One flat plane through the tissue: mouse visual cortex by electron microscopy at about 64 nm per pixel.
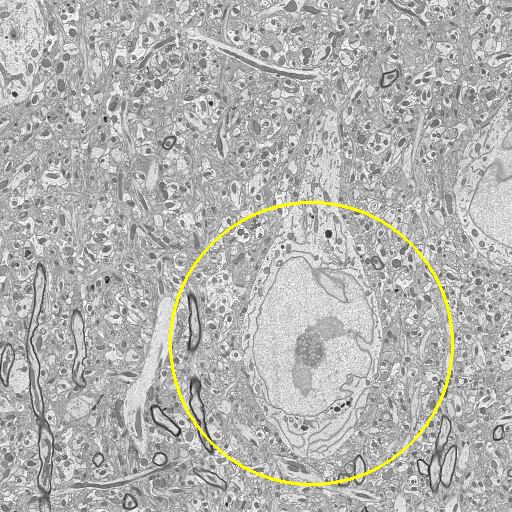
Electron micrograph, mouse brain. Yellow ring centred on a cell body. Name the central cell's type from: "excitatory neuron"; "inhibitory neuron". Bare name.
inhibitory neuron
